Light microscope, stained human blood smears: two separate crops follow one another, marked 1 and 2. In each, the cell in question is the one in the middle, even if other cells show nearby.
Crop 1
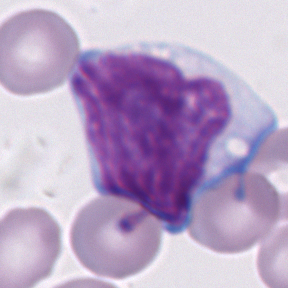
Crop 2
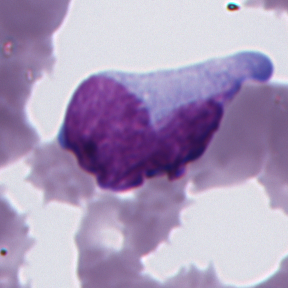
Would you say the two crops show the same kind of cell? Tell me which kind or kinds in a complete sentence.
Yes, they do, both crops show myeloblasts.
